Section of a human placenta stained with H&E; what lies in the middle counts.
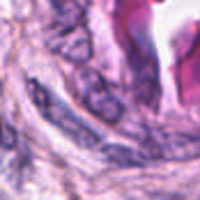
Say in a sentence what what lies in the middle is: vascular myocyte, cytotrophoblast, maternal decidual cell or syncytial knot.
This is a vascular myocyte.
